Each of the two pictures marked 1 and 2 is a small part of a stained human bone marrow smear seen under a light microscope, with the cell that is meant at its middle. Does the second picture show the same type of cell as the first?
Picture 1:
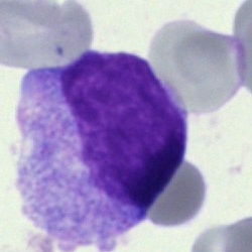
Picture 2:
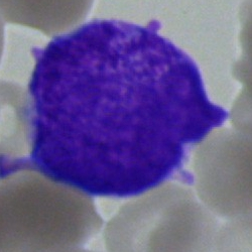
yes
